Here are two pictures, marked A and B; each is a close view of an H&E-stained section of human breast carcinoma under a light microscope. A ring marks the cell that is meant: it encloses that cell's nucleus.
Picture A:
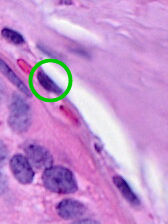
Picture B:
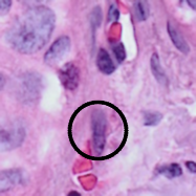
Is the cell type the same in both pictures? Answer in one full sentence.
Yes, both cells are endothelial cells.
